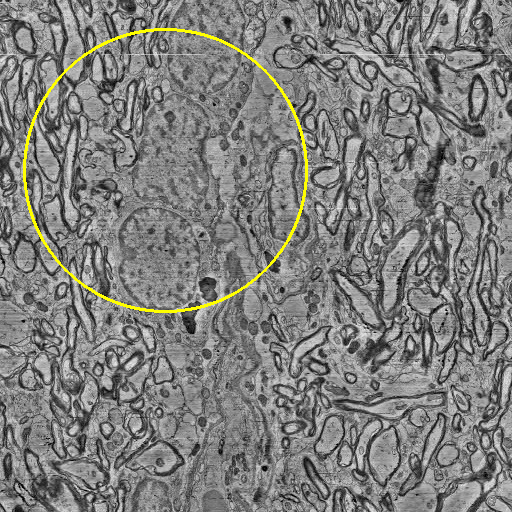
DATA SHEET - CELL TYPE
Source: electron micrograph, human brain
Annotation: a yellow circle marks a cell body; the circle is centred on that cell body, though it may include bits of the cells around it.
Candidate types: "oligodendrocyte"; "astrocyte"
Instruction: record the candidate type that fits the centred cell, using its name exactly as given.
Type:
oligodendrocyte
